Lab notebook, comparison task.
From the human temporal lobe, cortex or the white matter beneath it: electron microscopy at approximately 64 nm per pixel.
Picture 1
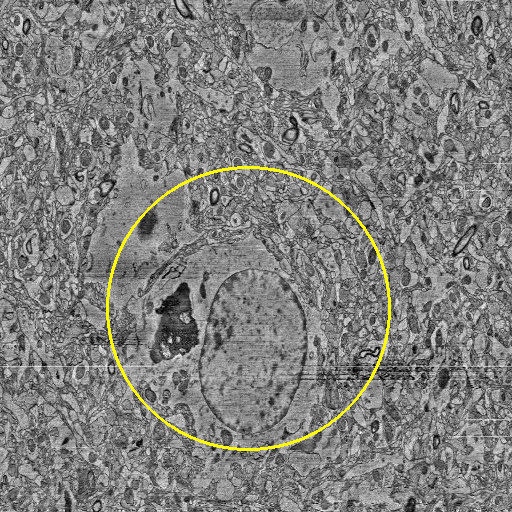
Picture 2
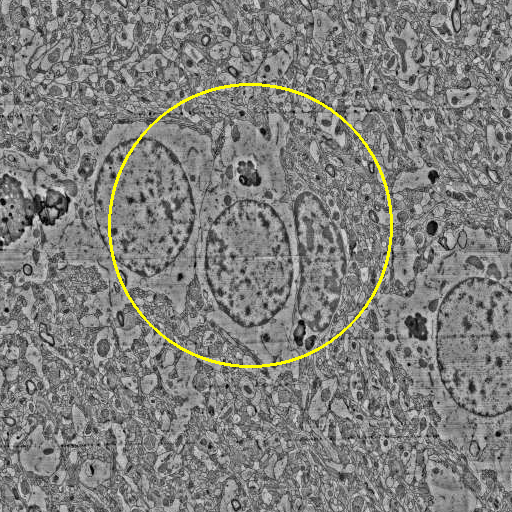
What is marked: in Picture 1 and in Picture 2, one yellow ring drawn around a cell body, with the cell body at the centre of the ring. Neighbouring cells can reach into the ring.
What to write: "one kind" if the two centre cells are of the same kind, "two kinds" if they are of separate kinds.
one kind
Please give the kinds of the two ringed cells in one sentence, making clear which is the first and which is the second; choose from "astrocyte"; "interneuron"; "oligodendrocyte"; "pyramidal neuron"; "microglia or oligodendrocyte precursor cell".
In the first picture and in the second, the ring is centred on an astrocyte.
